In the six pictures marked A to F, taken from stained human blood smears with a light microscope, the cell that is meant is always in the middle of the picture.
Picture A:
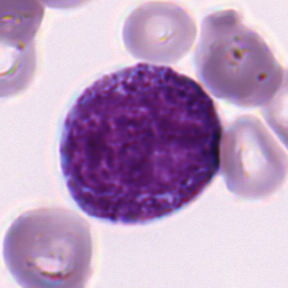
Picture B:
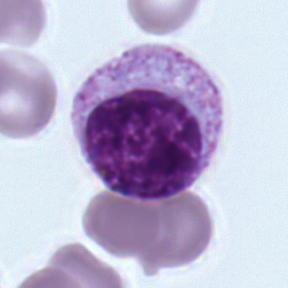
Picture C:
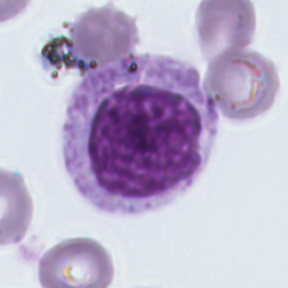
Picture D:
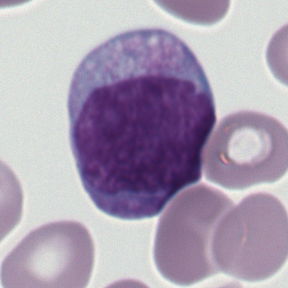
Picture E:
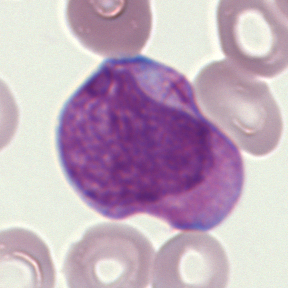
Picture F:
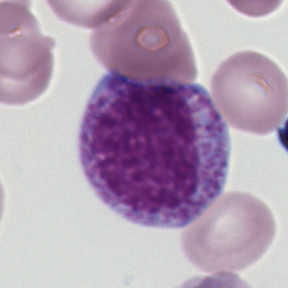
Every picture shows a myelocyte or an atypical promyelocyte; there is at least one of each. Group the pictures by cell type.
A: myelocyte
B: myelocyte
C: myelocyte
D: atypical promyelocyte
E: atypical promyelocyte
F: myelocyte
